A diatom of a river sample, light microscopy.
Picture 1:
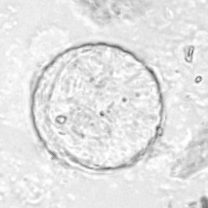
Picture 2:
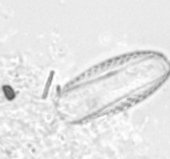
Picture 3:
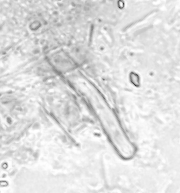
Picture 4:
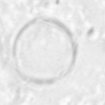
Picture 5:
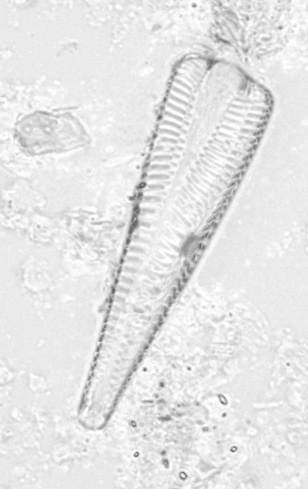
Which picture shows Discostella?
Picture 4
